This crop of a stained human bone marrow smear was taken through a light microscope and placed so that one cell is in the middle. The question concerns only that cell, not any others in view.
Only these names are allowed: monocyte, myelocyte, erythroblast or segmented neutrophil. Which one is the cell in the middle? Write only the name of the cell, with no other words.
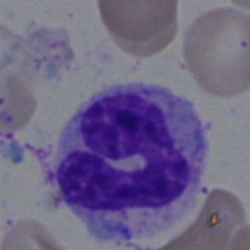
monocyte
